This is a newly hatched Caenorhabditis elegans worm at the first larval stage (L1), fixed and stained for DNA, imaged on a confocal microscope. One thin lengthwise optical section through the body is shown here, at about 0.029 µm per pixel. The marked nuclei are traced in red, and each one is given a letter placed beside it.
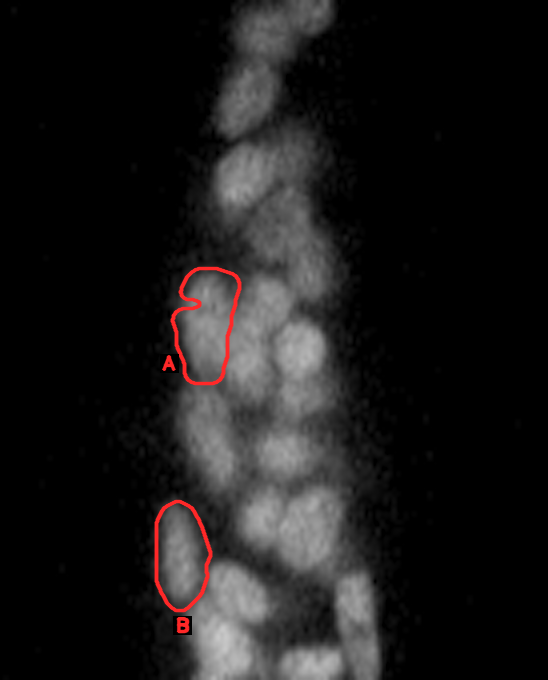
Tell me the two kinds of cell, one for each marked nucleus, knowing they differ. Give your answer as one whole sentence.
A is in a body wall muscle cell and B is in a rectal epithelial cell.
